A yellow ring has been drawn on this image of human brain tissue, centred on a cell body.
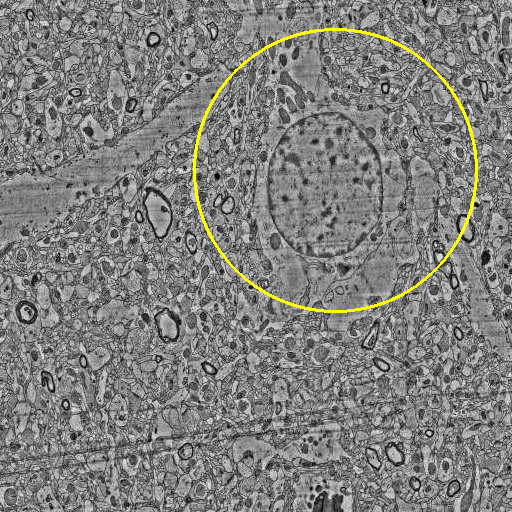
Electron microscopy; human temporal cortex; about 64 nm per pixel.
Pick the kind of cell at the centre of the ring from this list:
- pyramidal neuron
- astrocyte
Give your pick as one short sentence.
The centre of the ring holds an astrocyte.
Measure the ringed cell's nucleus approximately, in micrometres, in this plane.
About 9 by 7 micrometers for the nucleus, in this plane.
